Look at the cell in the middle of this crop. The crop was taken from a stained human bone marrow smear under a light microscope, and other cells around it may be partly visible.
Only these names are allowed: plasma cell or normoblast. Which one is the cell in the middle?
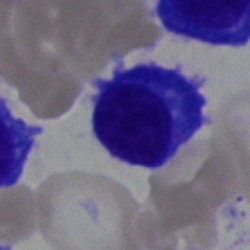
plasma cell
